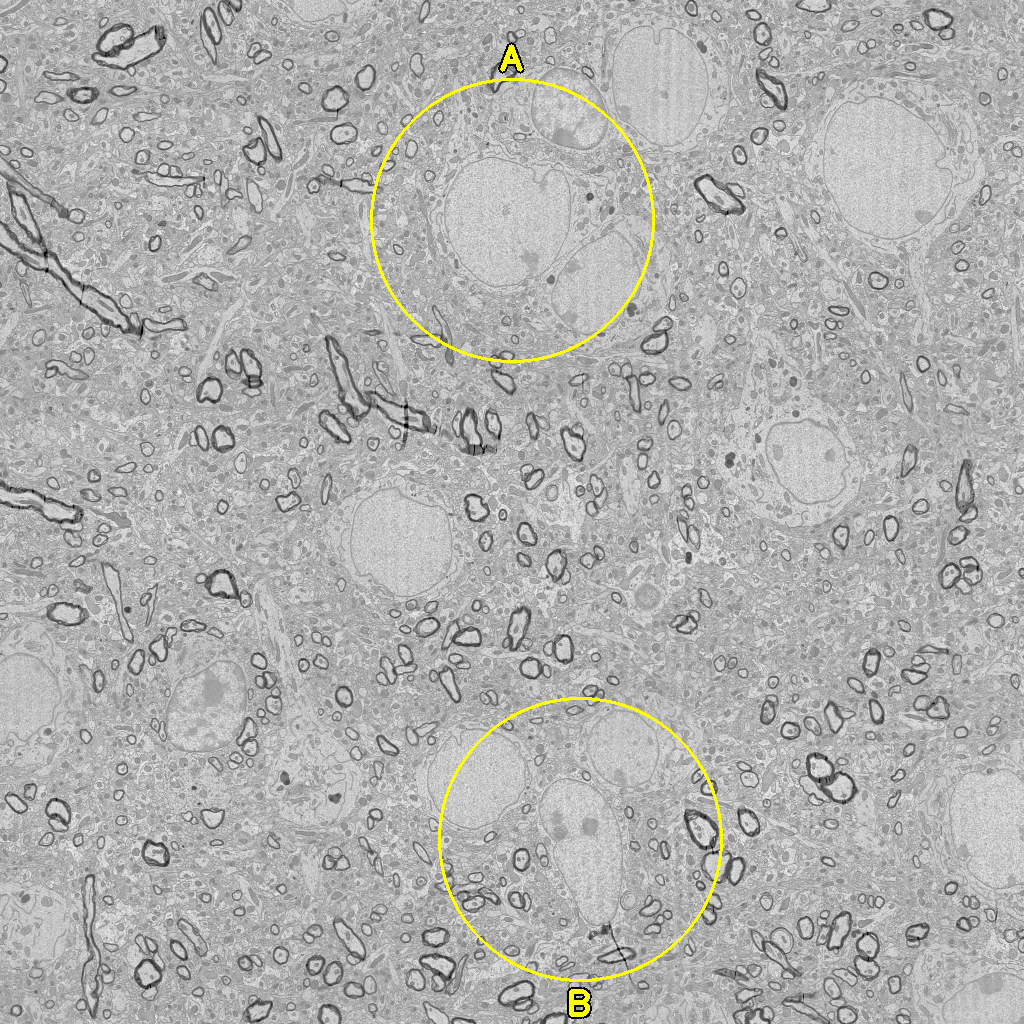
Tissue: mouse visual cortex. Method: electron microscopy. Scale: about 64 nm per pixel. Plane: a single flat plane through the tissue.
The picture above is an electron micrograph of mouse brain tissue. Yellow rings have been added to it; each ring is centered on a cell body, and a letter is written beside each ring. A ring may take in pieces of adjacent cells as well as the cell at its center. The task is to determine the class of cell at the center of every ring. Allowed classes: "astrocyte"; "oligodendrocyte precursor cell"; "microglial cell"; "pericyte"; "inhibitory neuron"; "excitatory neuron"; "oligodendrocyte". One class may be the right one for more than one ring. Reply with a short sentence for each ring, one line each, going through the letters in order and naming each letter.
Ring A is centered on an excitatory neuron.
Ring B is centered on an astrocyte.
